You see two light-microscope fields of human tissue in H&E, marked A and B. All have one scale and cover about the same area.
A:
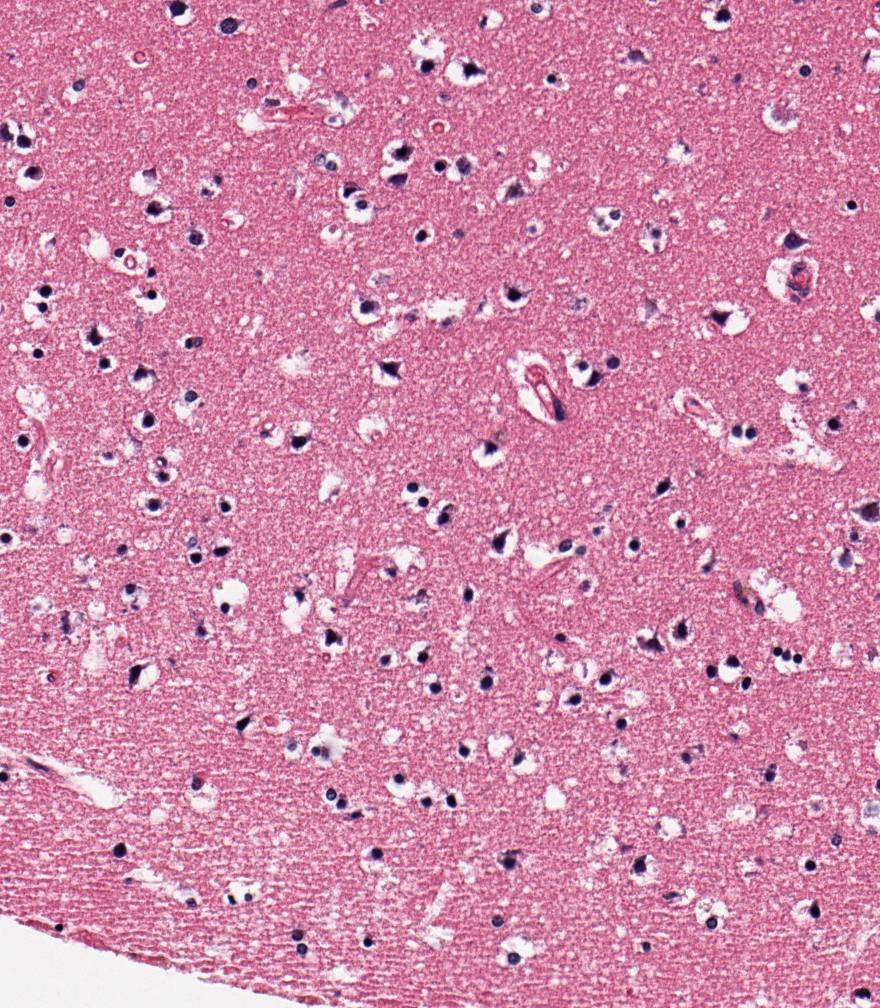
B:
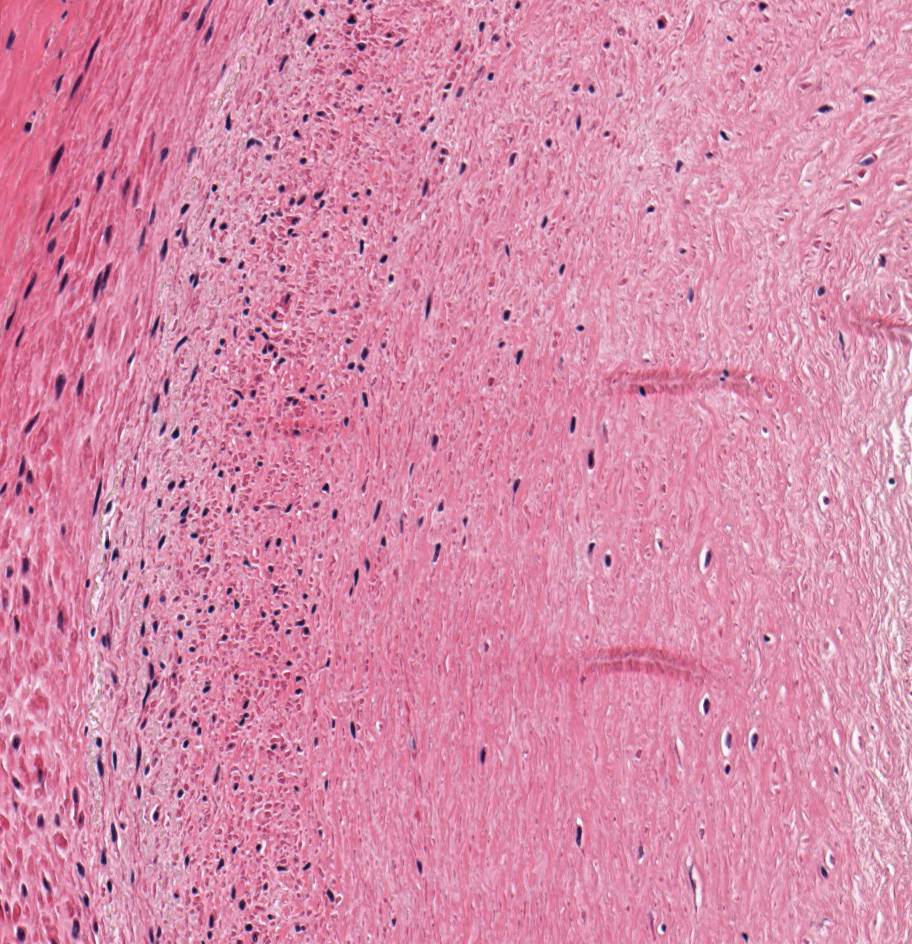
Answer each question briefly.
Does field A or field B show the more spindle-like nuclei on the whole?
B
